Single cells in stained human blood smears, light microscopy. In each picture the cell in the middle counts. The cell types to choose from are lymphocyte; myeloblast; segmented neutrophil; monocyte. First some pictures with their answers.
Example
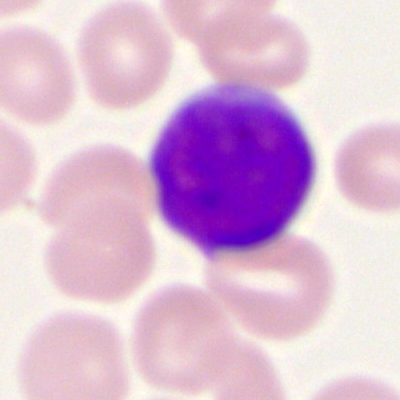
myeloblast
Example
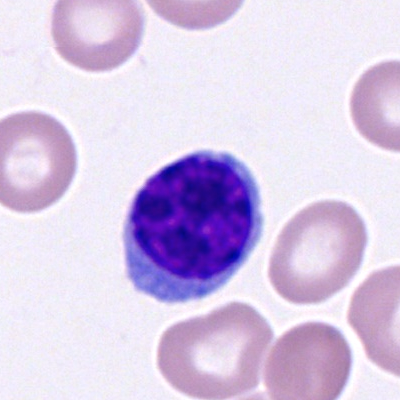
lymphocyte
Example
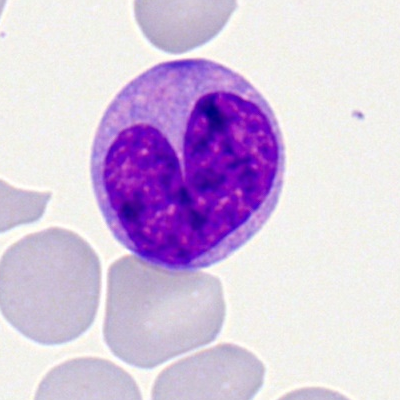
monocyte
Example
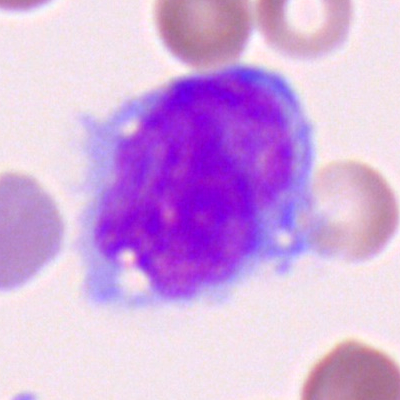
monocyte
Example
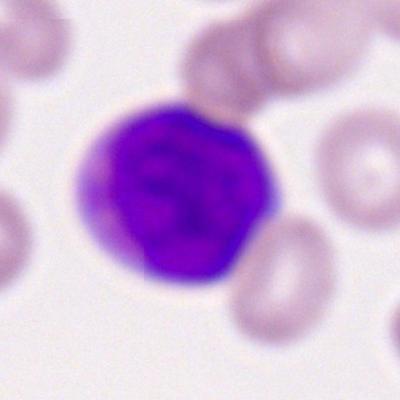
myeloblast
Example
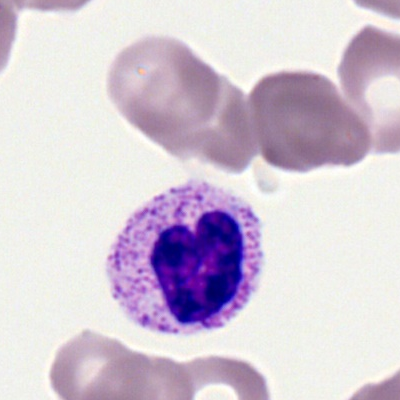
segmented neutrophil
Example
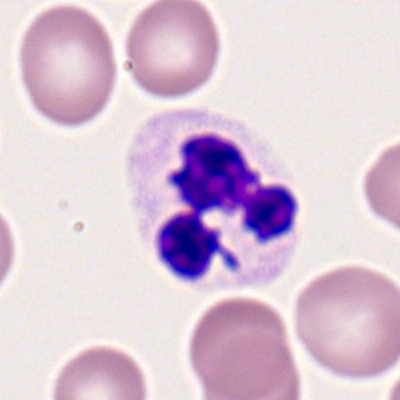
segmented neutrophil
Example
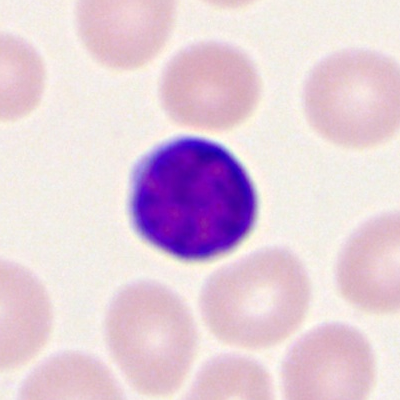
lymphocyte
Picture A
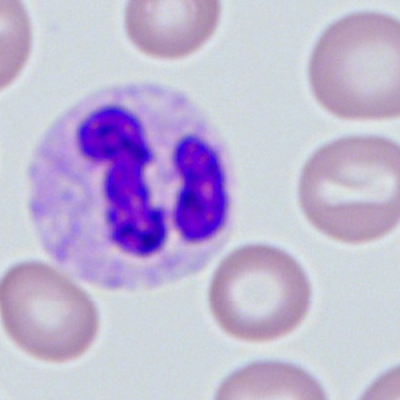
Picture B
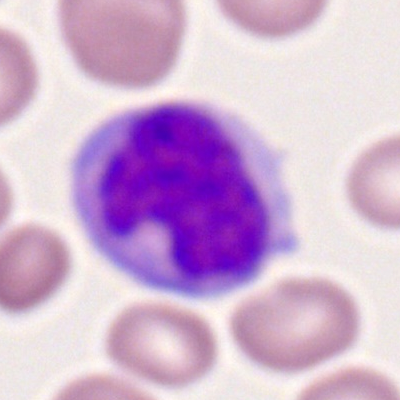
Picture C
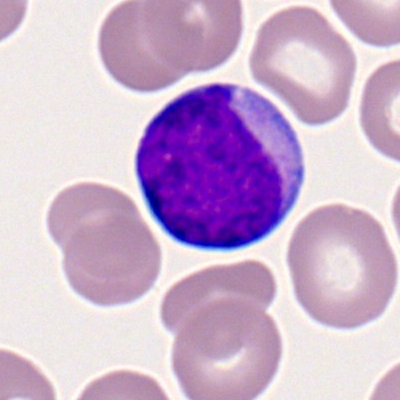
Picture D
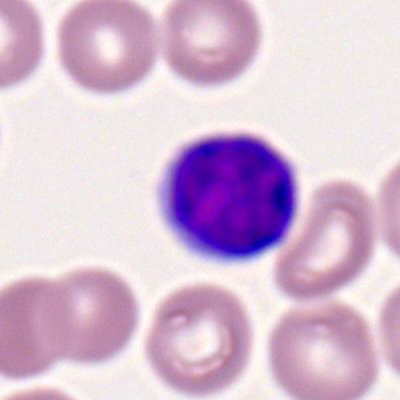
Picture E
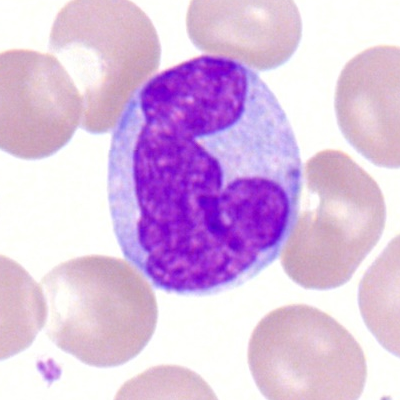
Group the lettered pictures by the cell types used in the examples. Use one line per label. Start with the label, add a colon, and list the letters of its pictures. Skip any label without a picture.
lymphocyte: D
myeloblast: C
segmented neutrophil: A
monocyte: B, E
